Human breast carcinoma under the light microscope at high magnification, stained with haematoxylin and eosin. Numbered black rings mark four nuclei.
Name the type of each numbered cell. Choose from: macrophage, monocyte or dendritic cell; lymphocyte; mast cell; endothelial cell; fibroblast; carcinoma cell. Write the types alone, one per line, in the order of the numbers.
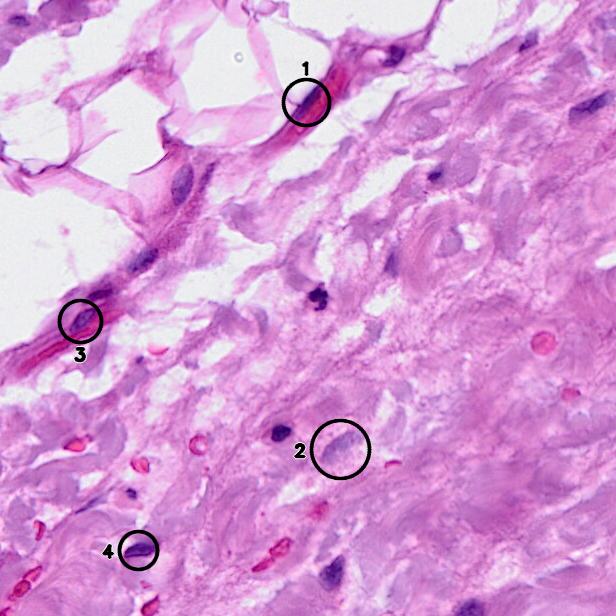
endothelial cell
fibroblast
endothelial cell
fibroblast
